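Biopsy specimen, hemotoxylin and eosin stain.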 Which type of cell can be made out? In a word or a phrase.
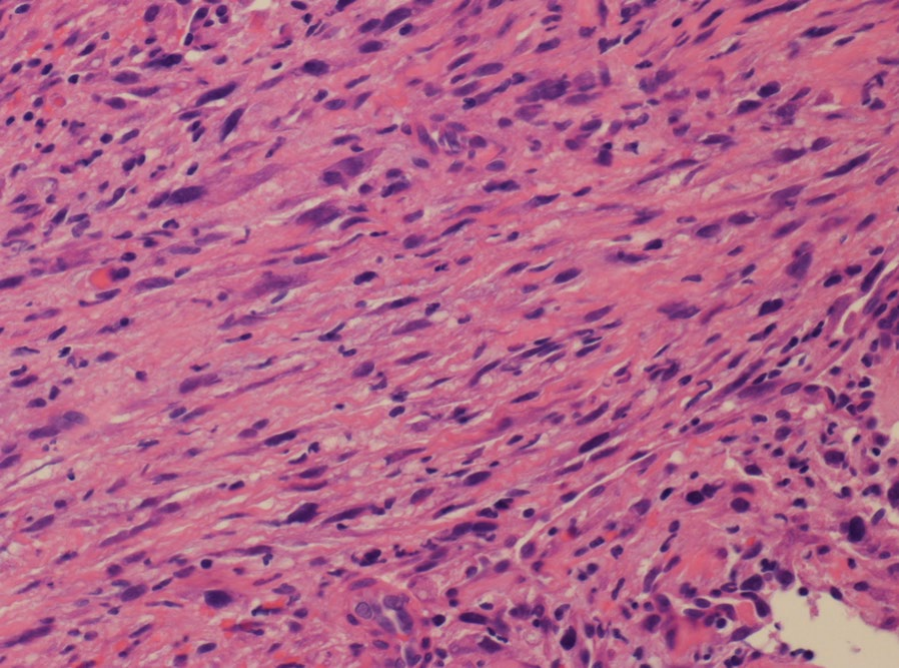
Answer: Pleomorphic atypical spindle cells.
